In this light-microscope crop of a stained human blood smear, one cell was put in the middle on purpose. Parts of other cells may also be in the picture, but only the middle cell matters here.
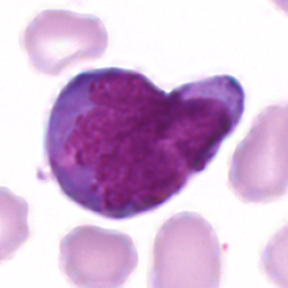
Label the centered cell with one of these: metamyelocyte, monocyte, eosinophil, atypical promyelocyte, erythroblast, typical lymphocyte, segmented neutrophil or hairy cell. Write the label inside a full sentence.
The middle position in this crop is taken by an atypical promyelocyte.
